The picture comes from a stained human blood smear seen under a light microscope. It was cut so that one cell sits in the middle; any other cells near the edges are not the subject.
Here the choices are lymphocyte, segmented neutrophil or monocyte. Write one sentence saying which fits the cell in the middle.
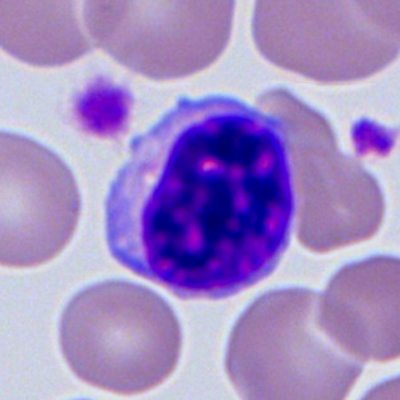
The identification for the central cell is a lymphocyte.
